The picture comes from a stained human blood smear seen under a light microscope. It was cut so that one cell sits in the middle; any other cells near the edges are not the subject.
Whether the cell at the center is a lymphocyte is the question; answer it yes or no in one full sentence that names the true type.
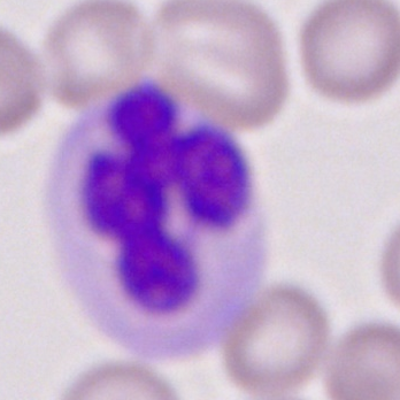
No, the cell in the middle is a monocyte; it is not a lymphocyte.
